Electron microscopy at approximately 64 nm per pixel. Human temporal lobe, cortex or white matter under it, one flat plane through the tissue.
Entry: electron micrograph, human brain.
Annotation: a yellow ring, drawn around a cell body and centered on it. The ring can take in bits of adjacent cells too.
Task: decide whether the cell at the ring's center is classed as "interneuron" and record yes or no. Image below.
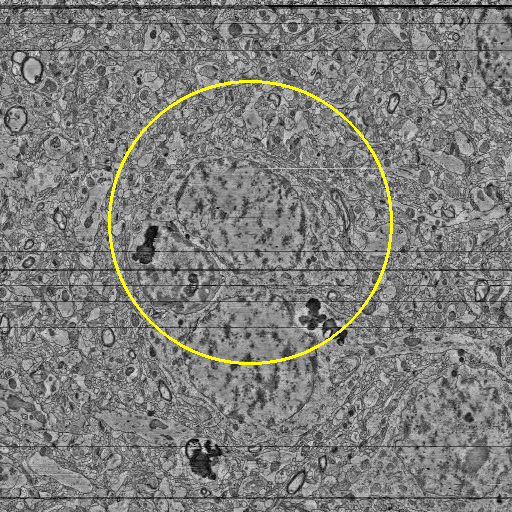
yes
